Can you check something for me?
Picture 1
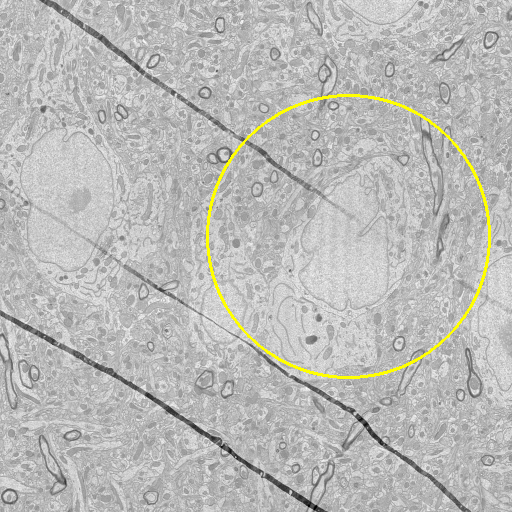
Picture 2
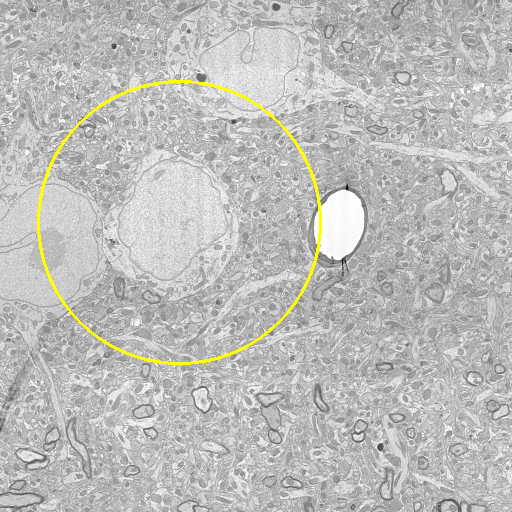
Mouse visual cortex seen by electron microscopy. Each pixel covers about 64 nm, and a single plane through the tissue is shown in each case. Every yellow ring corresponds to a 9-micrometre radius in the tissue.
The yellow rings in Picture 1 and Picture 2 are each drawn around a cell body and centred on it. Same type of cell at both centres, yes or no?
yes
